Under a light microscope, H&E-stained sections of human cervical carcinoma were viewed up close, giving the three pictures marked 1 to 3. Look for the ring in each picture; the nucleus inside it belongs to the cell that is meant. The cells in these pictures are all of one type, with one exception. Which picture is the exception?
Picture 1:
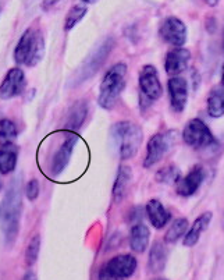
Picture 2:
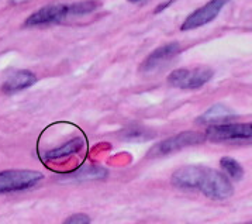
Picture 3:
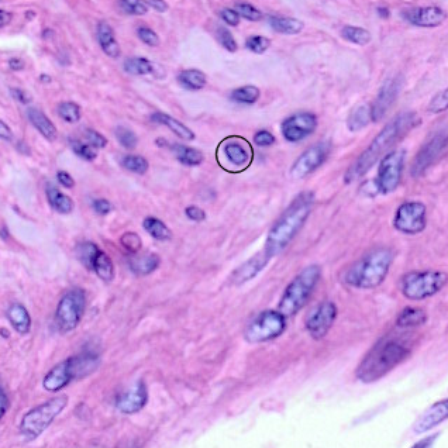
3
